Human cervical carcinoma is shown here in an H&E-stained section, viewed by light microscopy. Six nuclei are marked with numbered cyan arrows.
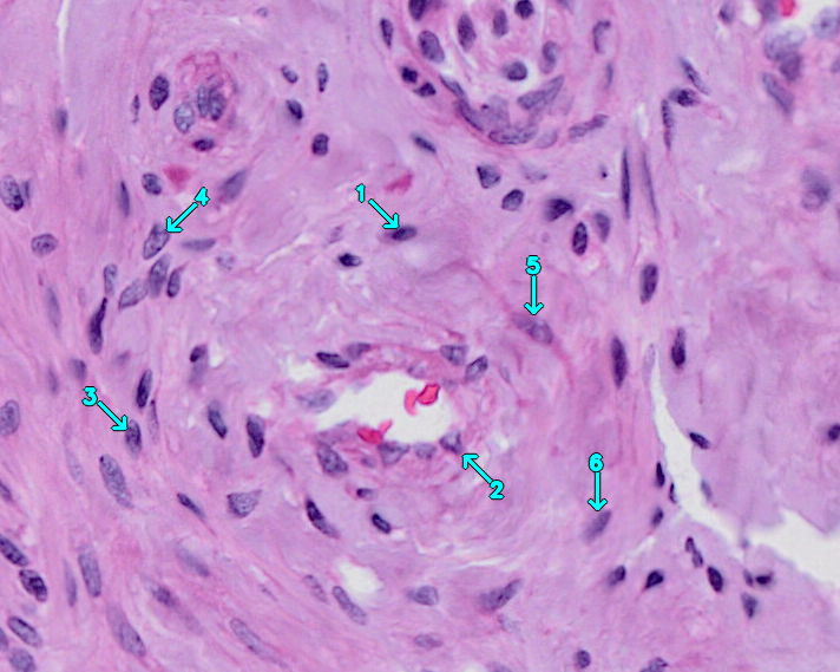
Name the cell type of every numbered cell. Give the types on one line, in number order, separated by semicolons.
fibroblast; endothelial cell; fibroblast; fibroblast; smooth muscle cell; fibroblast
